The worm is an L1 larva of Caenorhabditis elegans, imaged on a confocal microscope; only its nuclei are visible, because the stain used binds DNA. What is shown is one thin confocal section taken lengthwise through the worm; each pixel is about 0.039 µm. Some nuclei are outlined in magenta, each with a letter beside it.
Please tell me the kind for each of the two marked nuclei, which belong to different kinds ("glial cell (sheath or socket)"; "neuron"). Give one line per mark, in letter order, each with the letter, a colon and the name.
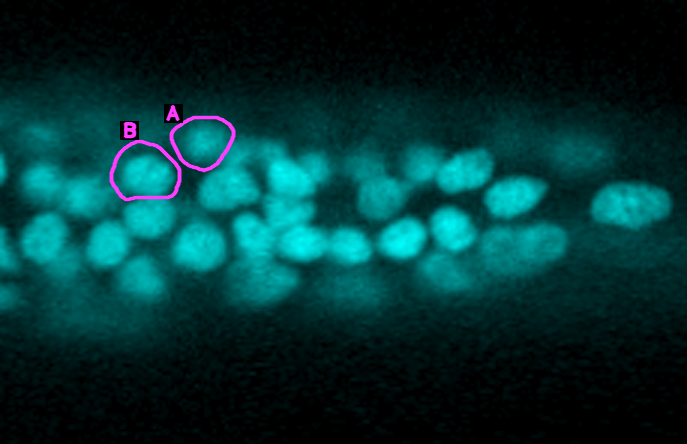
A: glial cell (sheath or socket)
B: neuron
